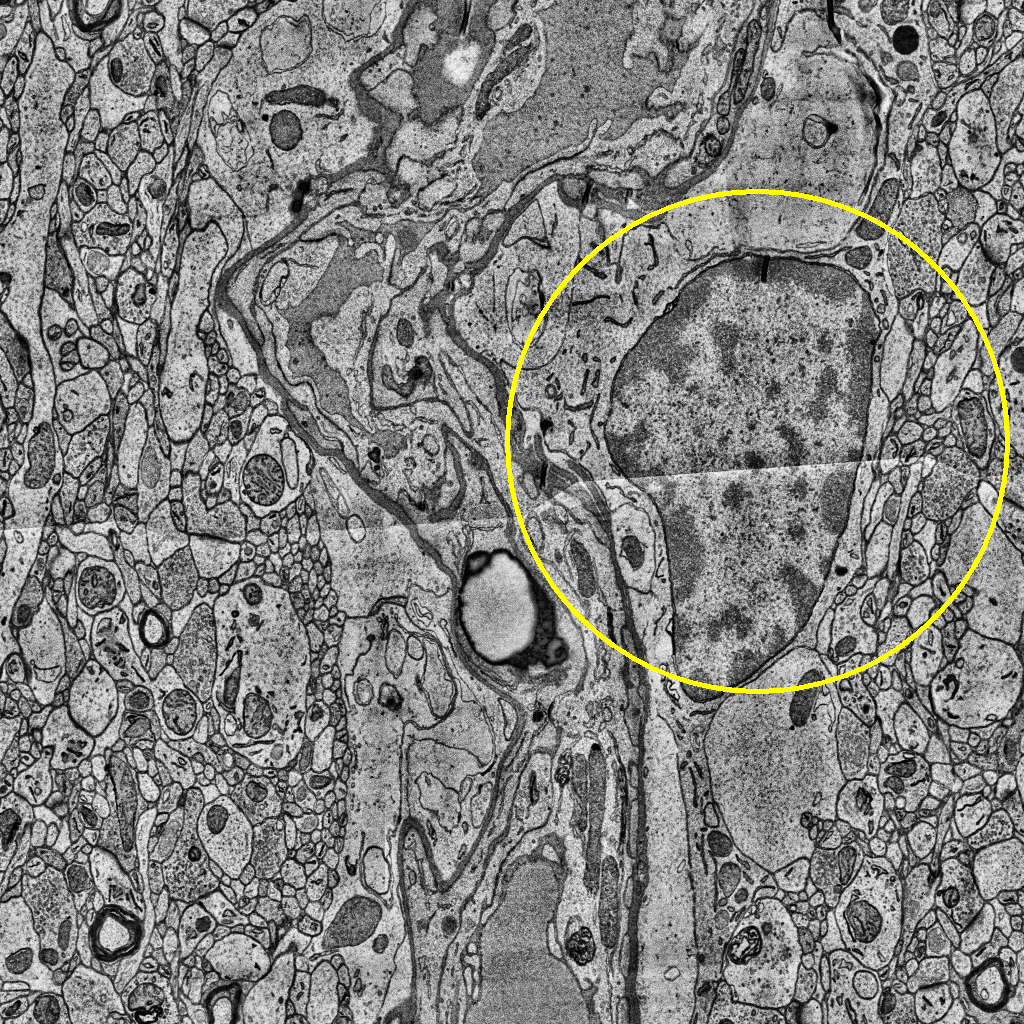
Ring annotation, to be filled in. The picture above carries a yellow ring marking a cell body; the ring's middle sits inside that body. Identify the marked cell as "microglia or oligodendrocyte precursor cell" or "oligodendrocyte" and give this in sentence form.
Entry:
The cell at the middle of the ring is a microglial cell or oligodendrocyte precursor cell.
